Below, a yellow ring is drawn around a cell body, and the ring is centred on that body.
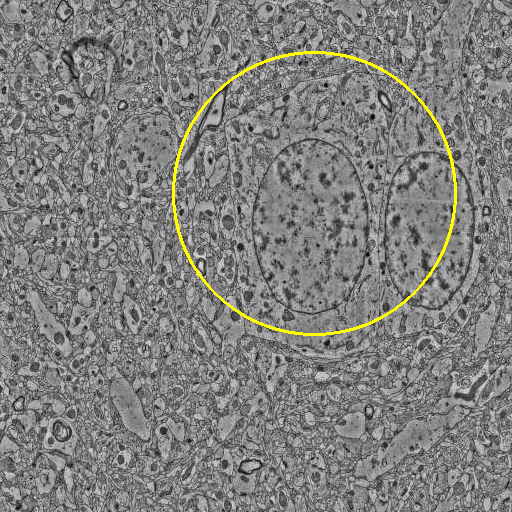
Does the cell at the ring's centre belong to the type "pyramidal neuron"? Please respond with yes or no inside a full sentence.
Yes, the centred cell inside the ring shown in the picture is of this type.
